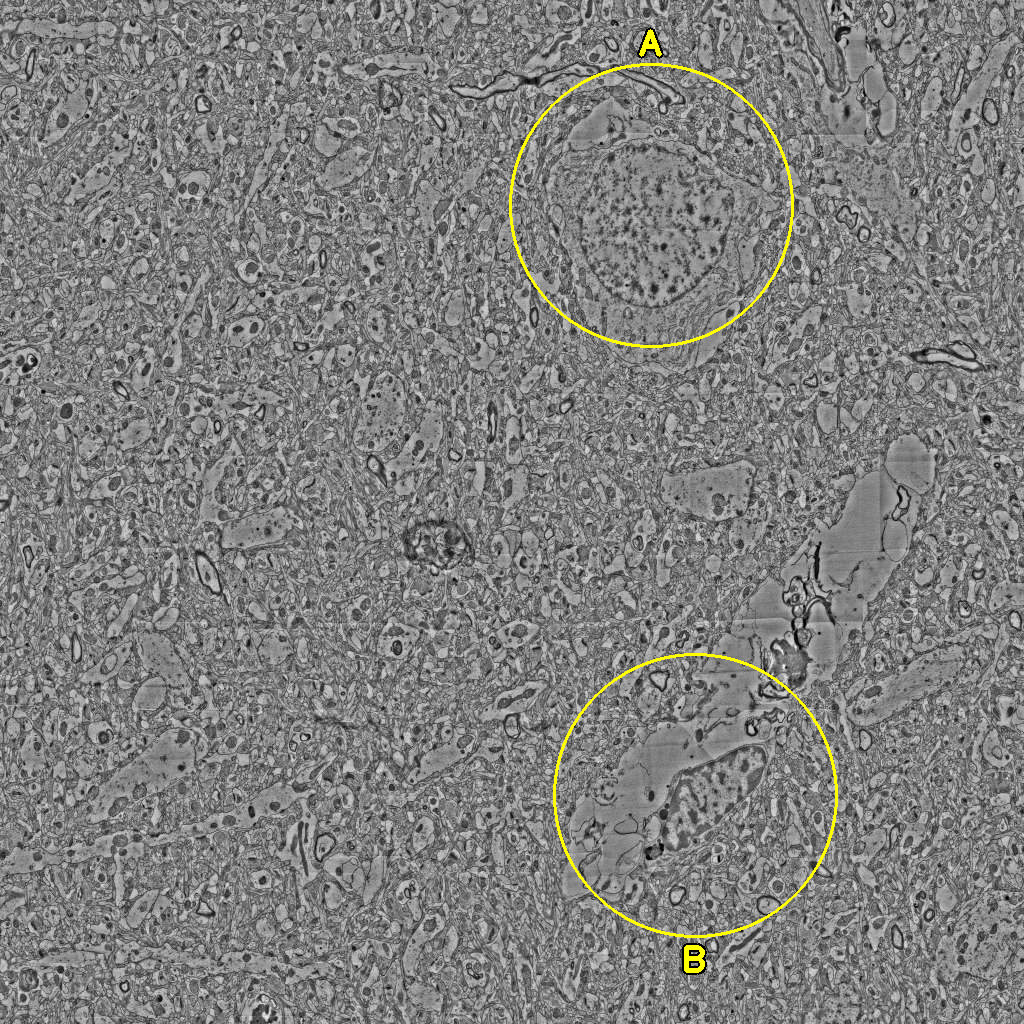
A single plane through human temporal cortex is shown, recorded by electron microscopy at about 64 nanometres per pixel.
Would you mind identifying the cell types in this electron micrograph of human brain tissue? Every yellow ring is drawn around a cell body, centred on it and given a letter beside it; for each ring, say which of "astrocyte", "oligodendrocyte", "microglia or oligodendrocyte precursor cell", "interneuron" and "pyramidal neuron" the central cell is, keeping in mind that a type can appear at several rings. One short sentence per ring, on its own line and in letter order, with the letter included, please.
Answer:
At the centre of ring A lies an interneuron.
At the centre of ring B lies a microglial cell or oligodendrocyte precursor cell.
